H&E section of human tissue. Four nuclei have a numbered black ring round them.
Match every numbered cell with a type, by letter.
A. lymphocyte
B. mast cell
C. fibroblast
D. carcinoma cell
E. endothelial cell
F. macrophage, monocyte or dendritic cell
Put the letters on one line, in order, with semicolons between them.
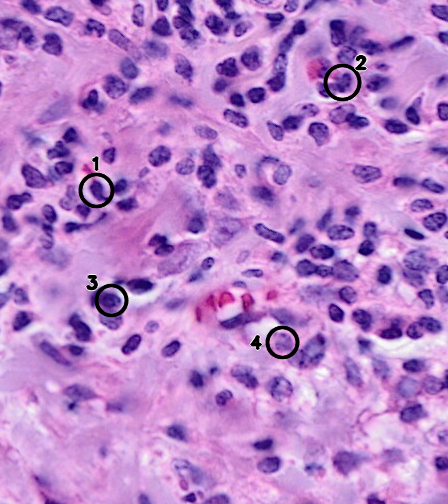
A; A; A; B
